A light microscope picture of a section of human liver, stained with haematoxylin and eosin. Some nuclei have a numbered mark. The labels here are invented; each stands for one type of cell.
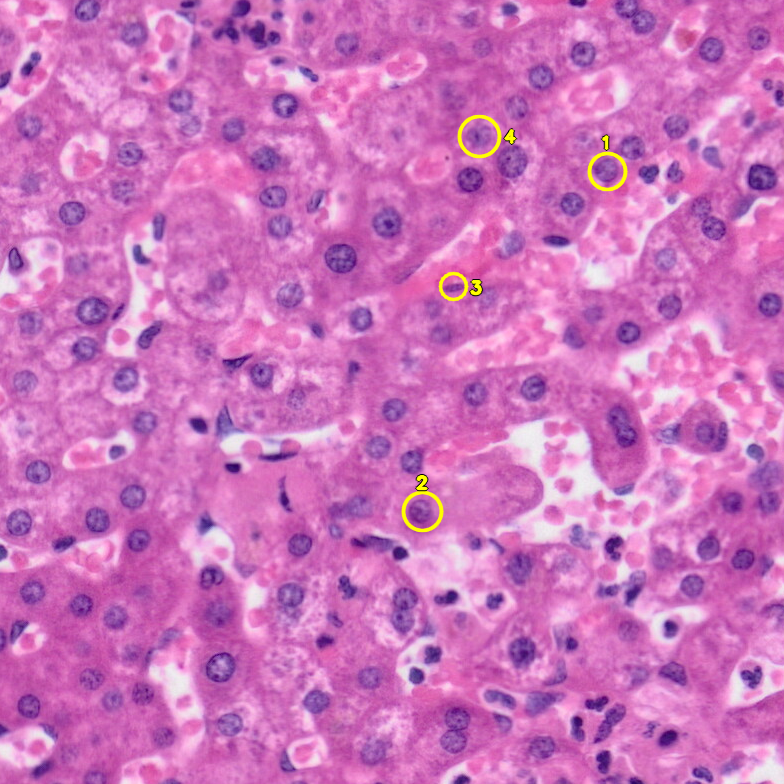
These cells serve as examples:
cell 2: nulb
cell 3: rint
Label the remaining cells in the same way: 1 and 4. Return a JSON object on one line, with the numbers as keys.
{"1": "nulb", "4": "nulb"}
